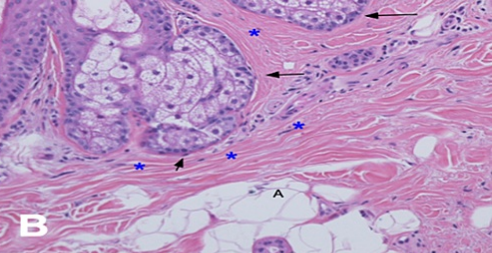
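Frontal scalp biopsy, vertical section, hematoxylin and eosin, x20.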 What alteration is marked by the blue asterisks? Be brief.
Fibrotic dermis.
